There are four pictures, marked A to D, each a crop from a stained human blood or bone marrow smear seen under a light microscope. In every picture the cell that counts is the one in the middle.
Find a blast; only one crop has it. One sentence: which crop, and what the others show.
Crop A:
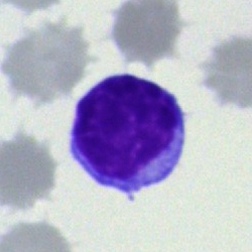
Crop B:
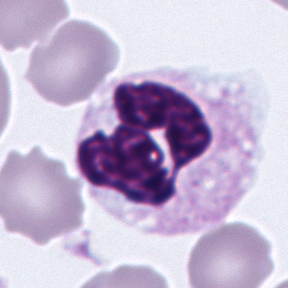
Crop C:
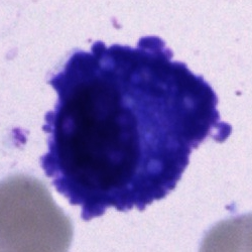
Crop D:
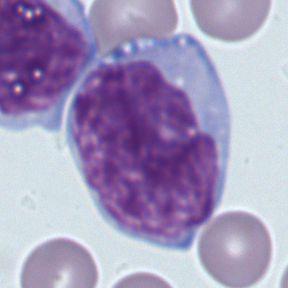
Seen in crop D is a blast, while crop A is a lymphocyte, crop B is a neutrophil and crop C is a plasma cell.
